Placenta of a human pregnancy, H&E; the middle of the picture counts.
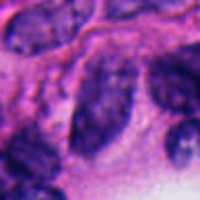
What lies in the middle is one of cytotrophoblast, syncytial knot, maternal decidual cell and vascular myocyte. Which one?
cytotrophoblast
